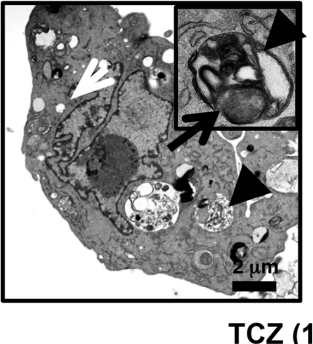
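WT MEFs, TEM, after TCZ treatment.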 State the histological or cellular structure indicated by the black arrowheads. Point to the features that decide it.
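The arrowheads point to large membrane-bound compartments in the cytoplasm. The inset shows a membrane-bounded structure enclosing an organelle with internal cristae-like folds. That points to this answer: double-membrane structures with encapsulated mitochondria.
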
